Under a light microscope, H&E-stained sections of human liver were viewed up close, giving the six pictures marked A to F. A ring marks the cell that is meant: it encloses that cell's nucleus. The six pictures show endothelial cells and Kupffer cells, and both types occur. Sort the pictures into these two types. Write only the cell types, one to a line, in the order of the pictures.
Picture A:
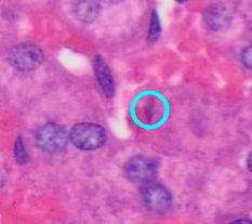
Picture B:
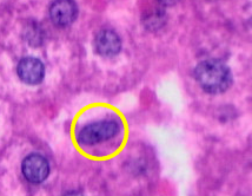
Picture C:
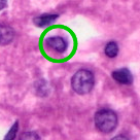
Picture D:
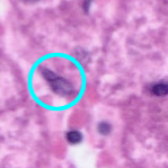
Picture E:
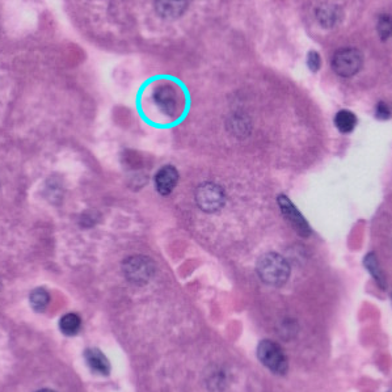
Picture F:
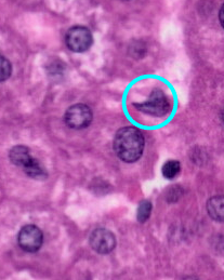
endothelial cell
Kupffer cell
Kupffer cell
Kupffer cell
endothelial cell
Kupffer cell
